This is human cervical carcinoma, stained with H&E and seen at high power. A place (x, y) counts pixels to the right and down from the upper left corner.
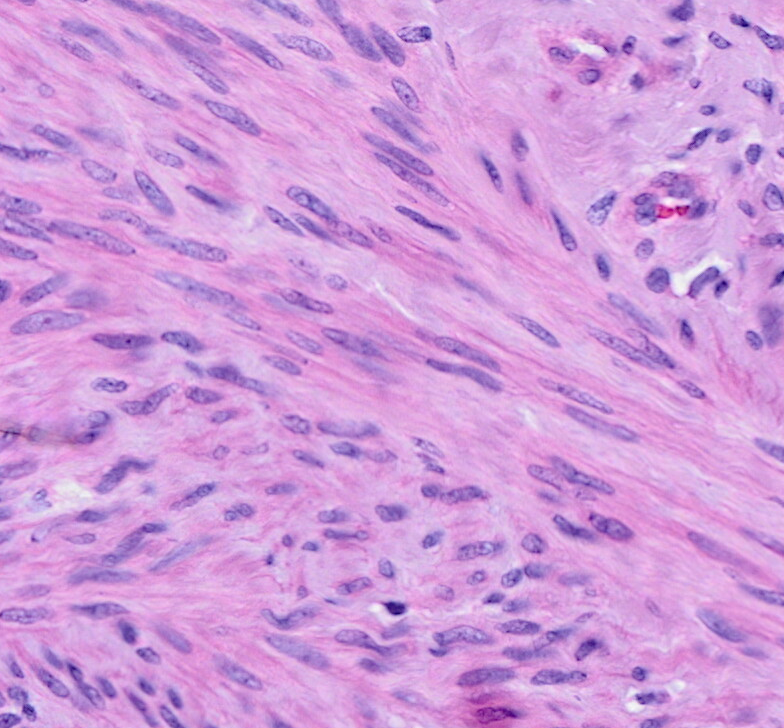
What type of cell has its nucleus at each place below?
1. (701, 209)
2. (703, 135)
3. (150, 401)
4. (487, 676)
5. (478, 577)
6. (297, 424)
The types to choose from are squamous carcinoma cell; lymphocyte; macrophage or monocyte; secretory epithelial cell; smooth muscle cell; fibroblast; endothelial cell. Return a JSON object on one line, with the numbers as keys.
{"1": "endothelial cell", "2": "fibroblast", "3": "smooth muscle cell", "4": "smooth muscle cell", "5": "smooth muscle cell", "6": "smooth muscle cell"}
